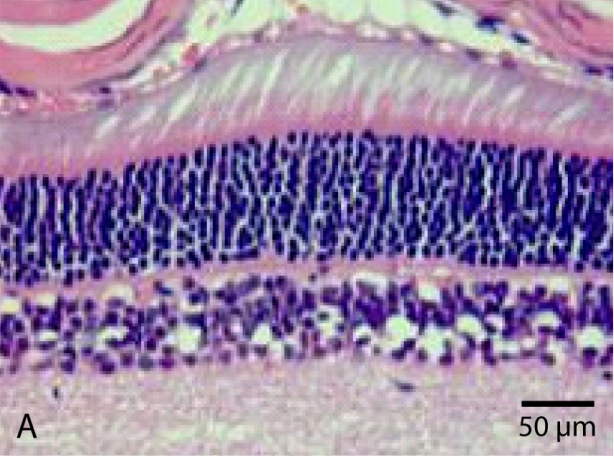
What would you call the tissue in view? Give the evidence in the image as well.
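Stacked layers: a pale striated band, a thick band of densely packed dark nuclei, a thin pink fibrous band, then a looser nuclear band. The densely packed nuclei are aligned in columns beneath a striated outer band.
Hence: retinal tissue.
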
